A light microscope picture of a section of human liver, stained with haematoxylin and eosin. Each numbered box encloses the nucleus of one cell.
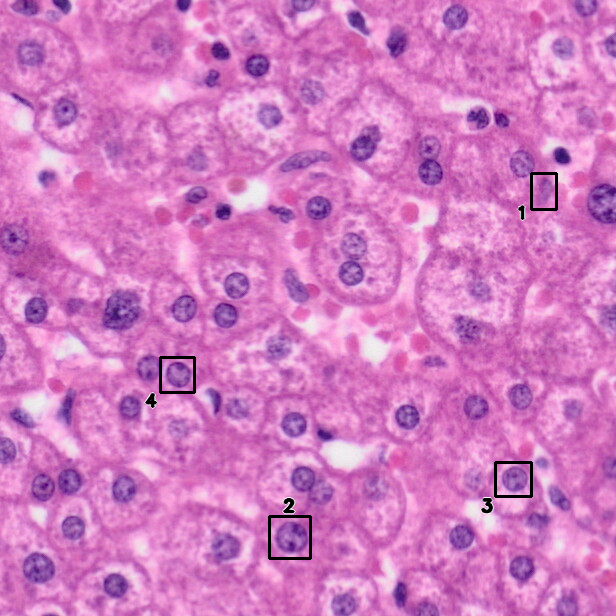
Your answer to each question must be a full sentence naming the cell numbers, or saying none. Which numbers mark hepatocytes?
The numbers 2, 3 and 4 refer to cells that are hepatocytes.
